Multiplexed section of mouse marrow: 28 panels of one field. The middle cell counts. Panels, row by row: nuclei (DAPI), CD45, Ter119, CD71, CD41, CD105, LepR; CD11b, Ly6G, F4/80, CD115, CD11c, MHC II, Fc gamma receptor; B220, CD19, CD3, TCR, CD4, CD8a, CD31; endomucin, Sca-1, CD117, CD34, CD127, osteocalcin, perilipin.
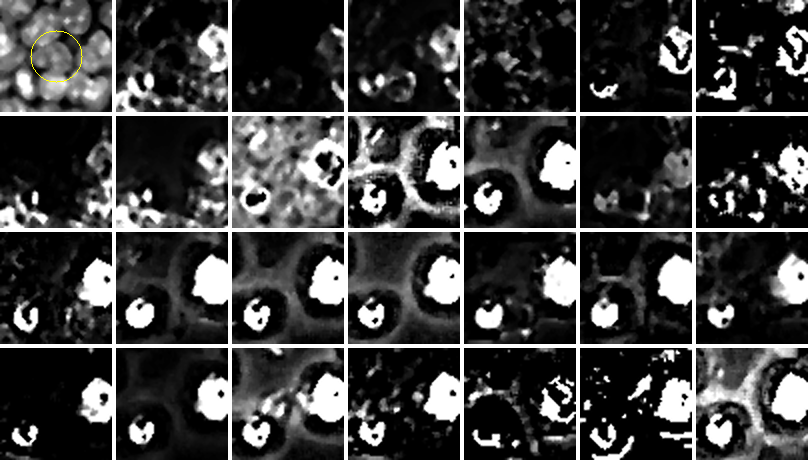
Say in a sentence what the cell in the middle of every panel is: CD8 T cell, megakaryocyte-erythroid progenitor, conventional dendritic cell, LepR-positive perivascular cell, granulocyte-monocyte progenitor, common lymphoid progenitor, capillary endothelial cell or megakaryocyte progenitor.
This is a granulocyte-monocyte progenitor.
